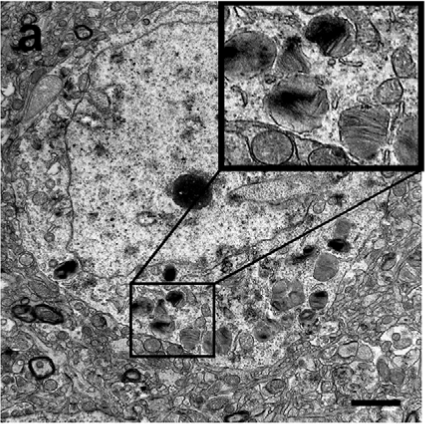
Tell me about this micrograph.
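A neuron in brain tissue is seen by transmission electron microscopy, with a large round nucleus of pale, finely dispersed chromatin. Its cytoplasm contains numerous dense inclusions of varying size, several showing stacked parallel lamellae resembling zebra bodies, together with mitochondria. An enlarged inset shows these lamellated dense bodies next to mitochondria. The surrounding neuropil contains many cell processes and dark-ringed myelinated axon profiles.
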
